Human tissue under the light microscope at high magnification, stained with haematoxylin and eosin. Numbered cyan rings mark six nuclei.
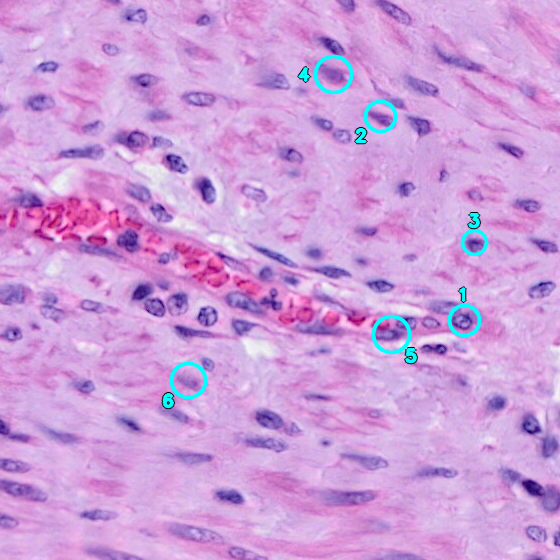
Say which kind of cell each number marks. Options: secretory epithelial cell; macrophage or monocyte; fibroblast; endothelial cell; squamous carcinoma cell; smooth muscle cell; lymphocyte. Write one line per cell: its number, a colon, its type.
1: endothelial cell
2: smooth muscle cell
3: smooth muscle cell
4: smooth muscle cell
5: endothelial cell
6: smooth muscle cell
